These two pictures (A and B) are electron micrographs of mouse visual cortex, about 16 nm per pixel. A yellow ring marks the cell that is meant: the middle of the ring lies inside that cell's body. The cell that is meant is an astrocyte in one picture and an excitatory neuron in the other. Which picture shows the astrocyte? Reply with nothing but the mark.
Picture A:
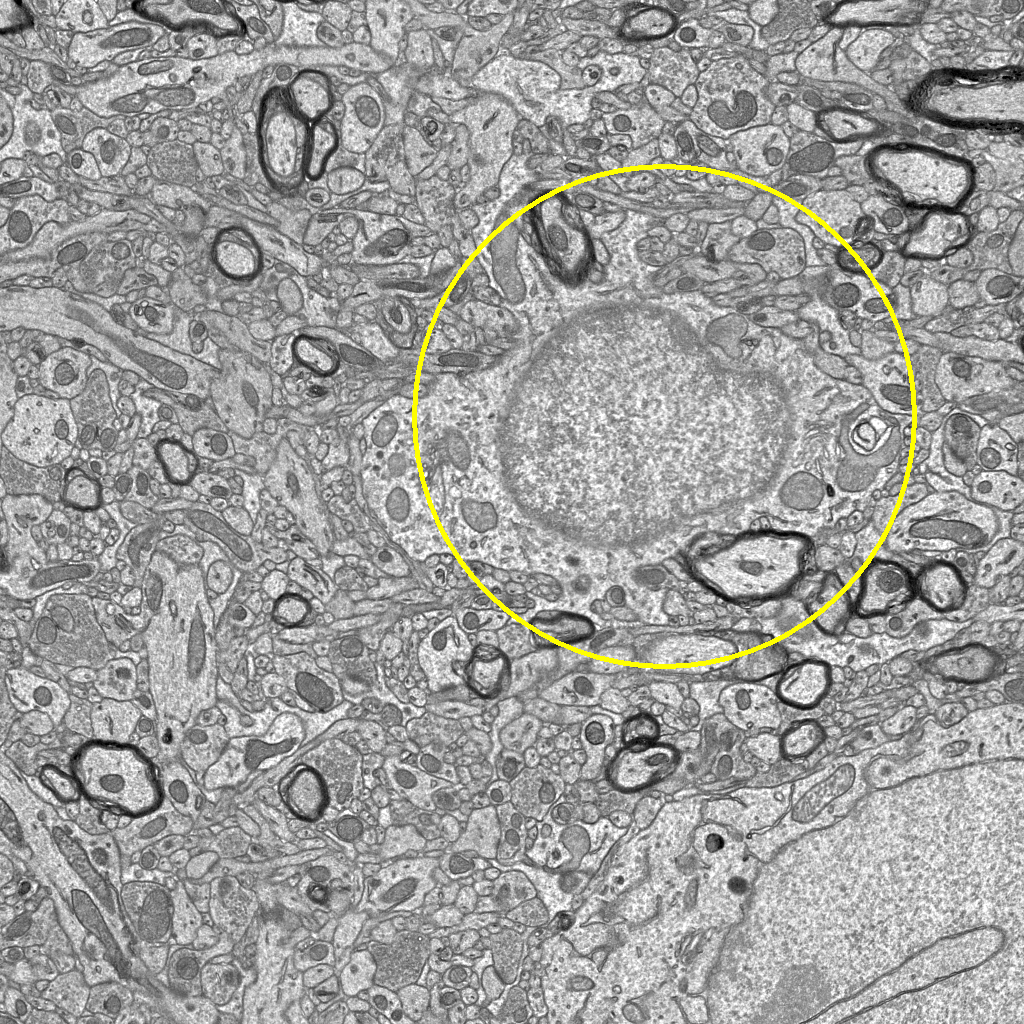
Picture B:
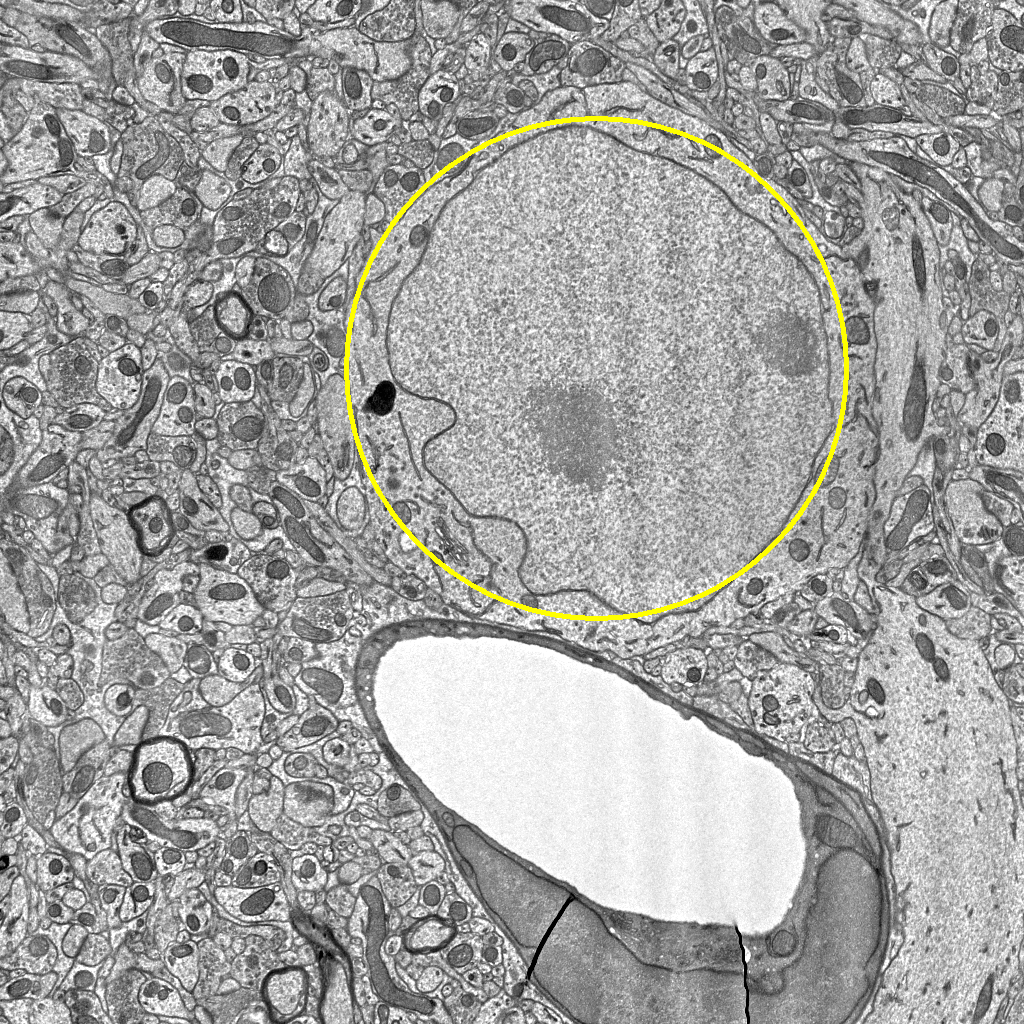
A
